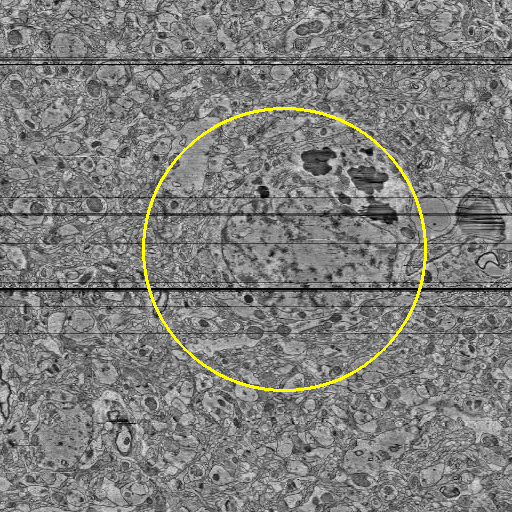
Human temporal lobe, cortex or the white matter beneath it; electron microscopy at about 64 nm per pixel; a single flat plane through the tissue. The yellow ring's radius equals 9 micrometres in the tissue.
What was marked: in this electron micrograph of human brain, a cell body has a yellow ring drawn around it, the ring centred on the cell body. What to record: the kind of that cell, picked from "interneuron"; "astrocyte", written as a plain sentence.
The centred cell is an interneuron.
